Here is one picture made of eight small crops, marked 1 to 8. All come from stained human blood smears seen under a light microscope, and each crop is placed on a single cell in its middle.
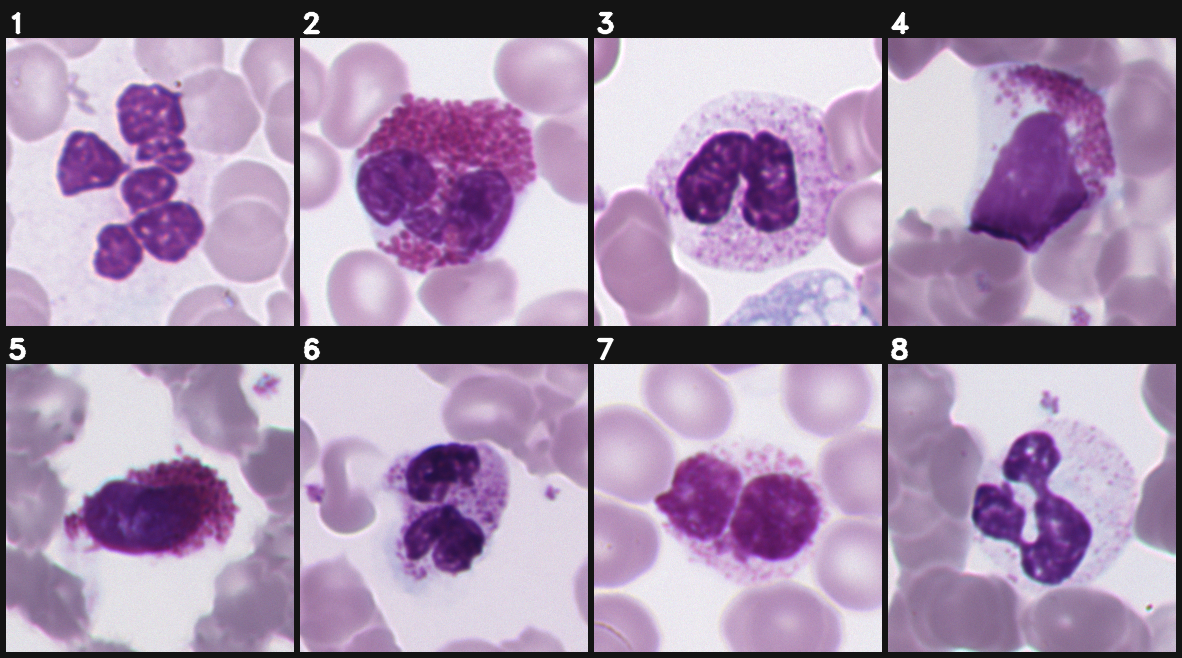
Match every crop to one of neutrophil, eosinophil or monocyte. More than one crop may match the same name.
1: neutrophil
2: eosinophil
3: neutrophil
4: eosinophil
5: eosinophil
6: neutrophil
7: neutrophil
8: neutrophil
